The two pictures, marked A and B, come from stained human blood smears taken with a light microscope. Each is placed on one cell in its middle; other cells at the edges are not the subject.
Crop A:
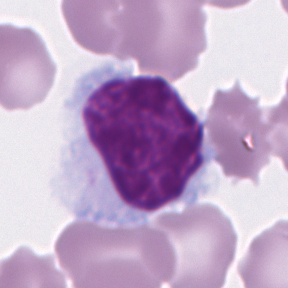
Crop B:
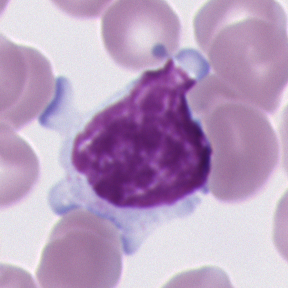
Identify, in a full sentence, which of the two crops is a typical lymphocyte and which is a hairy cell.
The centred cell is a hairy cell in crop A and a typical lymphocyte in crop B.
